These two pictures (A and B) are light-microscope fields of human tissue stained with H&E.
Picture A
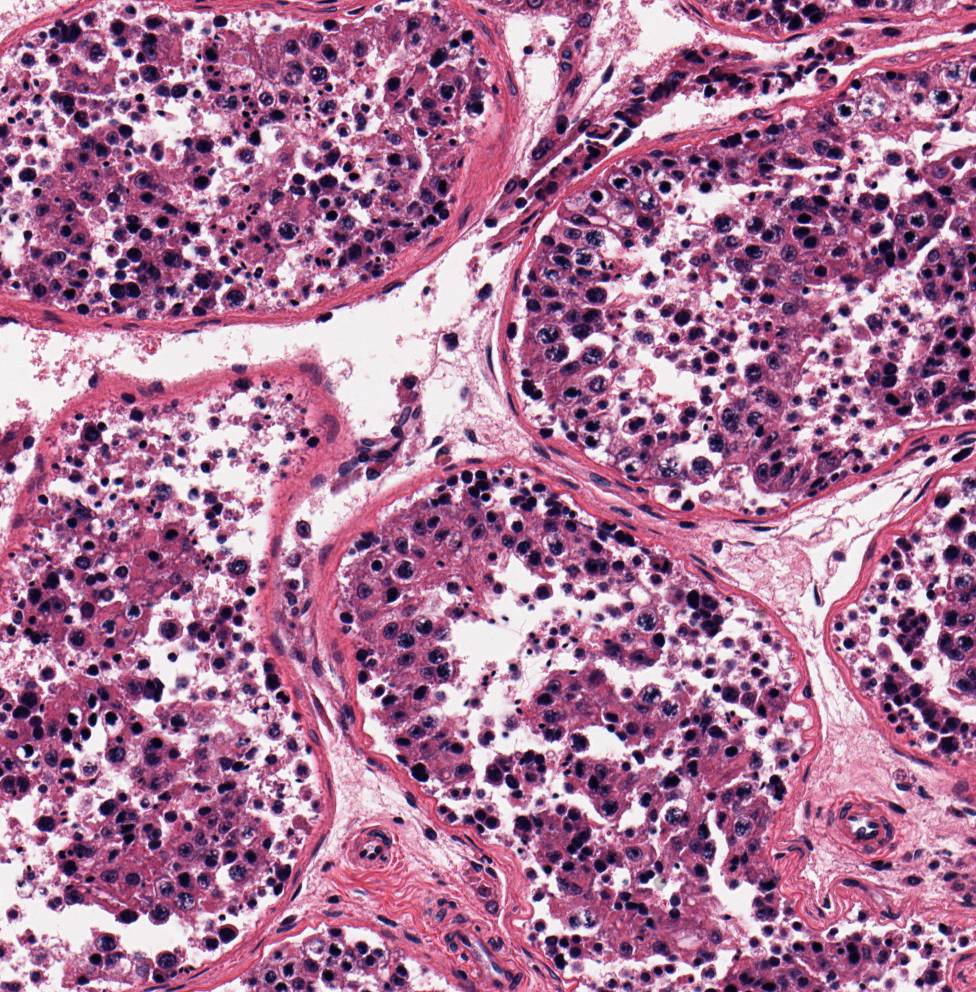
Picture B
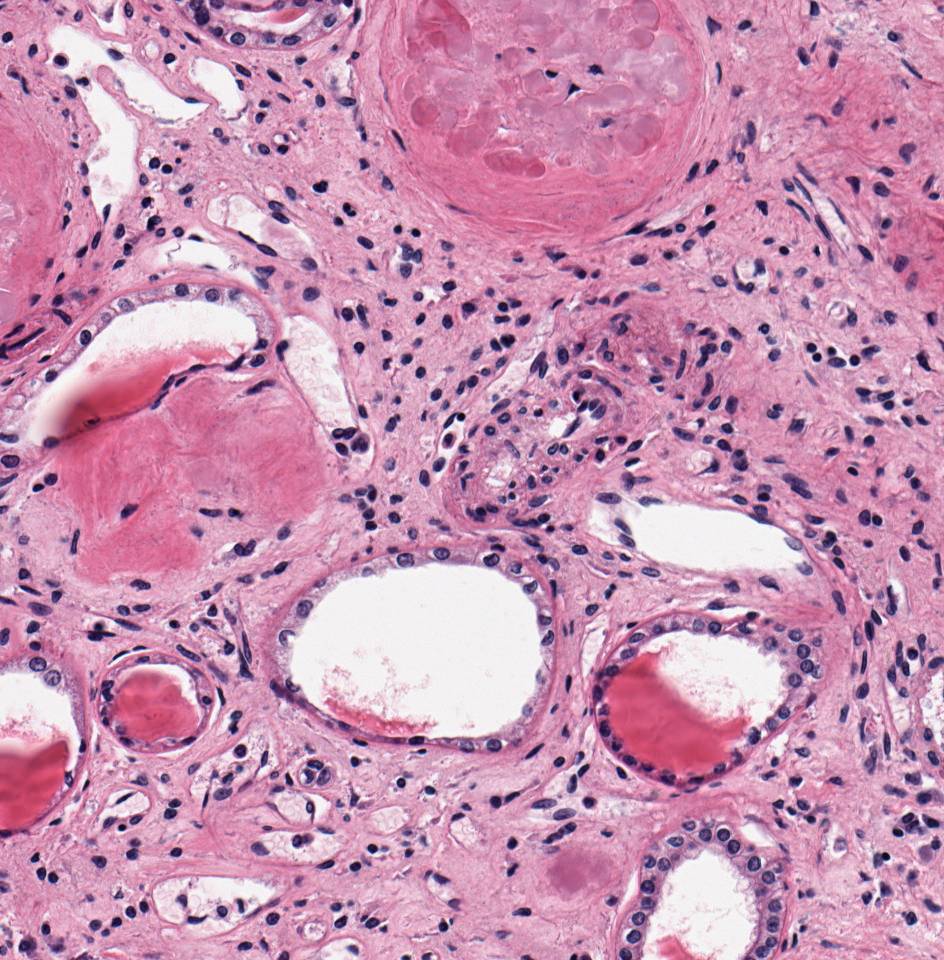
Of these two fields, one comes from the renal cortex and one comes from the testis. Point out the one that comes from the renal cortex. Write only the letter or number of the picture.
B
